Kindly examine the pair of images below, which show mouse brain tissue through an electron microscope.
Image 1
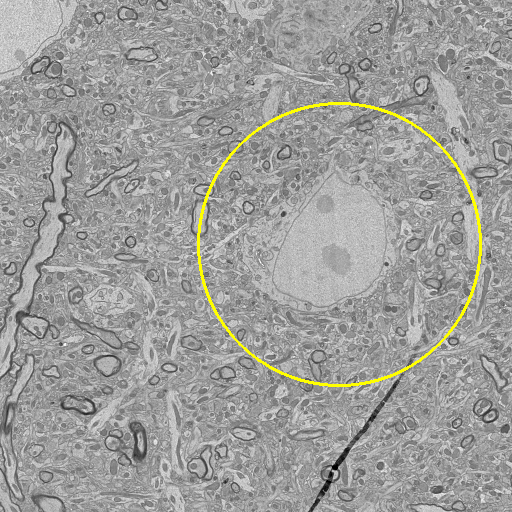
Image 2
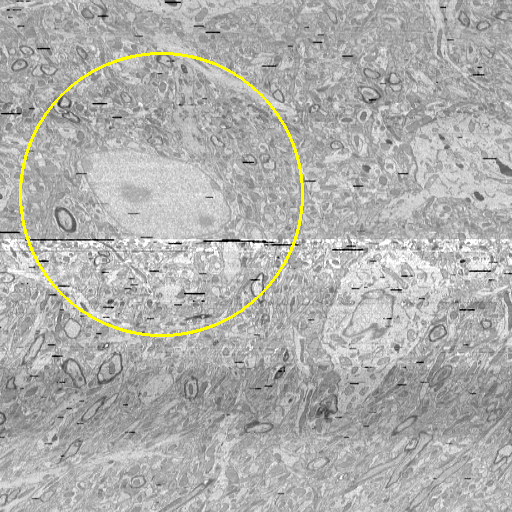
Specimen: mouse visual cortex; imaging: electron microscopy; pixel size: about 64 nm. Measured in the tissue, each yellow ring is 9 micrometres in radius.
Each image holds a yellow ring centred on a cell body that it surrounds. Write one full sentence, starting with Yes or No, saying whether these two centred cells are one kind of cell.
No, the cells at the centres of the yellow rings belong to two kinds of cell.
